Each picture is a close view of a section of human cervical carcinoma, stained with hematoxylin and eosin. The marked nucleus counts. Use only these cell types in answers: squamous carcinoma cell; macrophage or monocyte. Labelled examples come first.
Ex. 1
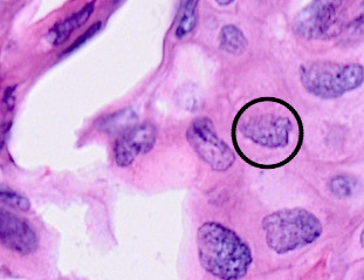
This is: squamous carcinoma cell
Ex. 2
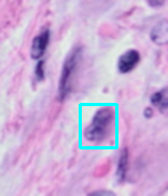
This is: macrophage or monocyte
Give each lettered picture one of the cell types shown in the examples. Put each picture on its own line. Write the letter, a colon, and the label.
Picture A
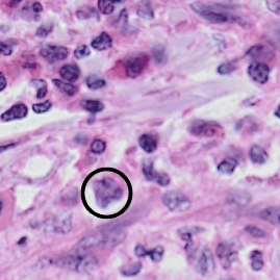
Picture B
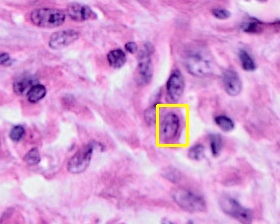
A: macrophage or monocyte
B: macrophage or monocyte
